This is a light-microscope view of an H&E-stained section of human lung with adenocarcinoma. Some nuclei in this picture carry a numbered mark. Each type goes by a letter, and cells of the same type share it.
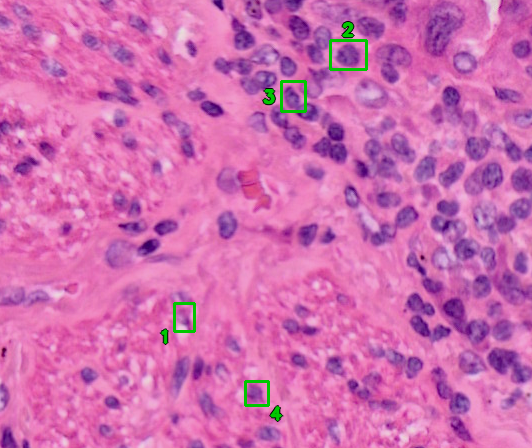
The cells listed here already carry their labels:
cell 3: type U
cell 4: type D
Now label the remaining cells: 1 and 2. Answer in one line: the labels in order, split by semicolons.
type D; type U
